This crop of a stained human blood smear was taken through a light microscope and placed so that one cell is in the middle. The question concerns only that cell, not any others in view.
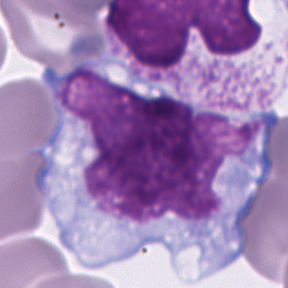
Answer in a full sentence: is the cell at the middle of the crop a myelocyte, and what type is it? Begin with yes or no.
No, the cell at the centre of the crop is a monocyte and not a myelocyte.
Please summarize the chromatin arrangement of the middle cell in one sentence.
No coarse chromatin clumps are present; the pattern is fine.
